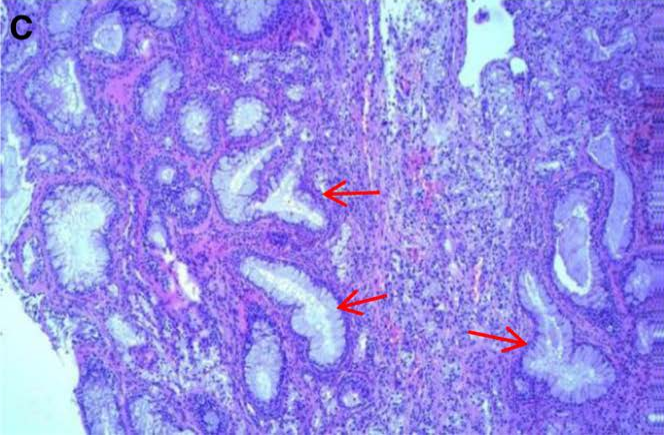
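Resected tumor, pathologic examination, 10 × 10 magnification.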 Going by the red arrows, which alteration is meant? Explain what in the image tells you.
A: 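Many large crowded glands are lined by tall cells with pale, clear cytoplasm. The arrows point at glands with folded, pale mucin-filled linings. The answer: mucous gland hyperplasia.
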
